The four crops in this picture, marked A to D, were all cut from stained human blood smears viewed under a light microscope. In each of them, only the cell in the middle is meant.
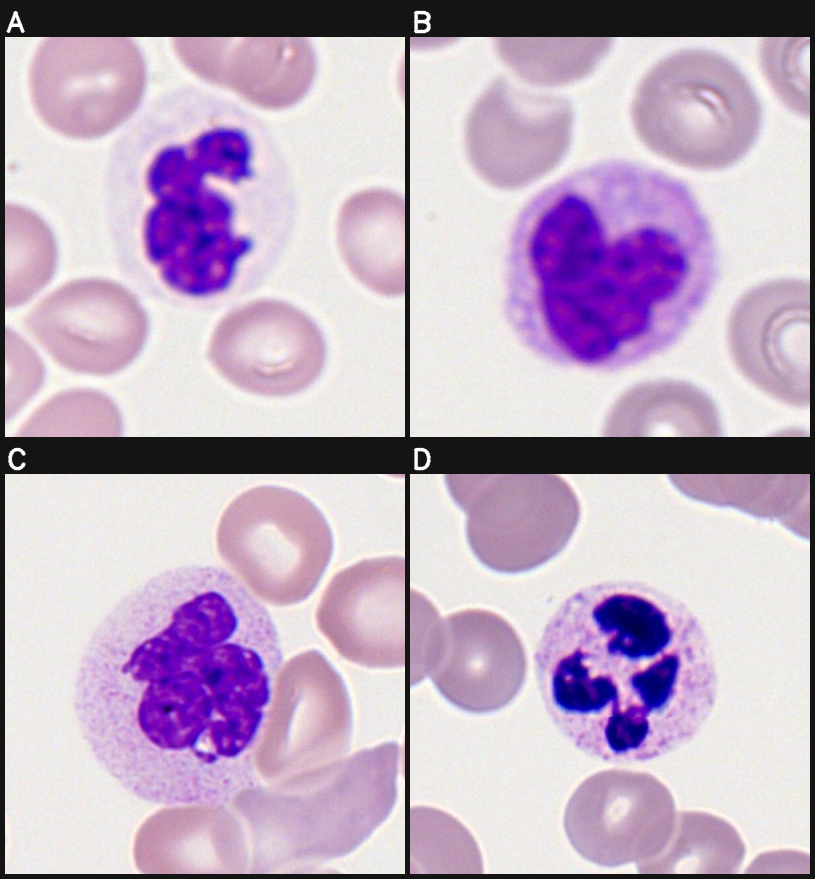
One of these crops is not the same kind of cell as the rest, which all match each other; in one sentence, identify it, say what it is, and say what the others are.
All the crops contain neutrophils save crop B, where there is a monocyte.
